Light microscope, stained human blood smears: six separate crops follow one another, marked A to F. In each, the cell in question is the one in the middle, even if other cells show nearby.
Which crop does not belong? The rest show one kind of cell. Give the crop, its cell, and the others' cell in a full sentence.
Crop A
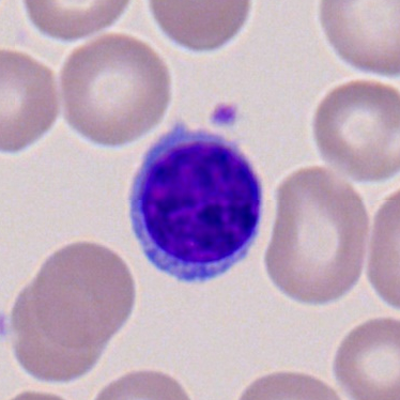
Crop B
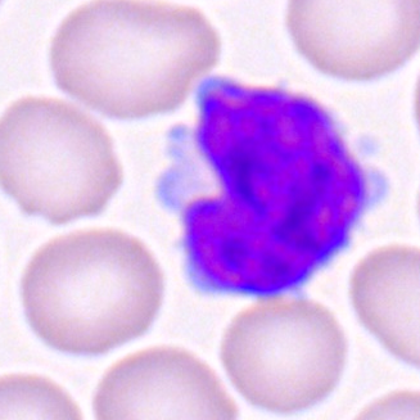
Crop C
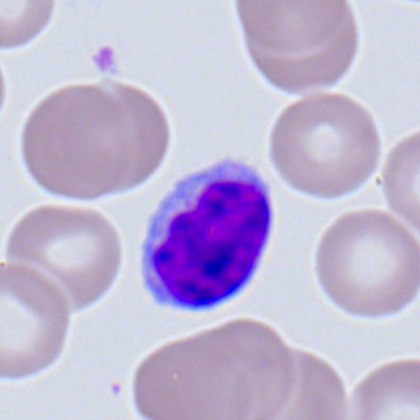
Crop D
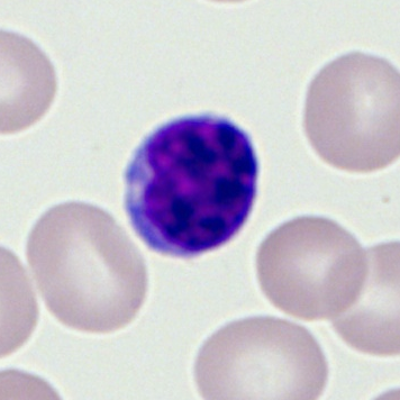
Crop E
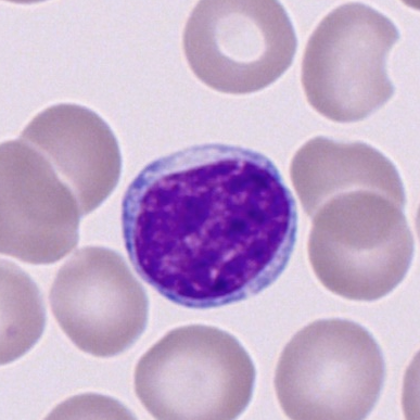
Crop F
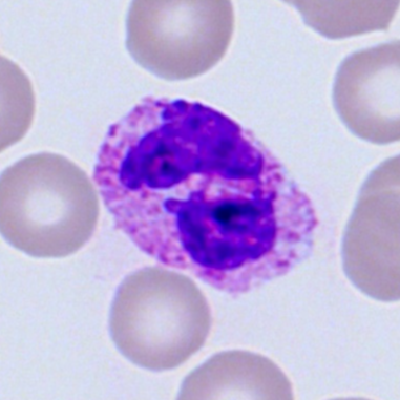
For this set, crop F is a basophil, and all the rest are lymphocytes.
